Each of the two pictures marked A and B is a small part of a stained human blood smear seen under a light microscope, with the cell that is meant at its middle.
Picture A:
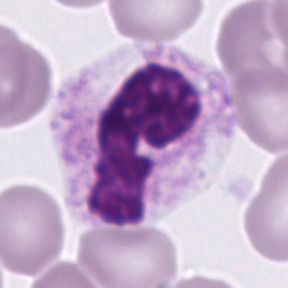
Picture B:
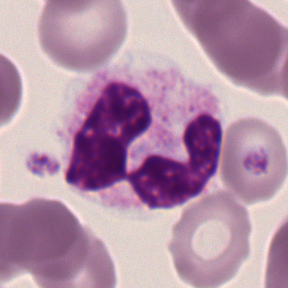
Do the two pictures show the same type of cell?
yes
